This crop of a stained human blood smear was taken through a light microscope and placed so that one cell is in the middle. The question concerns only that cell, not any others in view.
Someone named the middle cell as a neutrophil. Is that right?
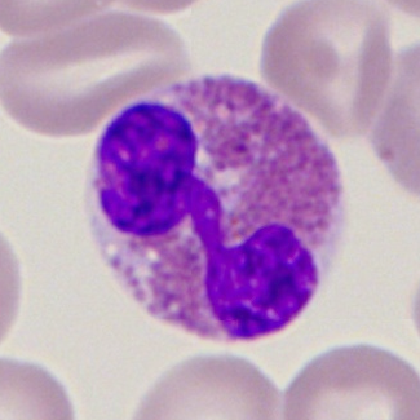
no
